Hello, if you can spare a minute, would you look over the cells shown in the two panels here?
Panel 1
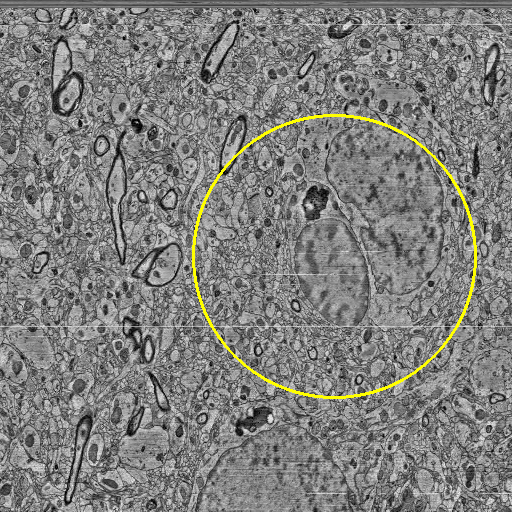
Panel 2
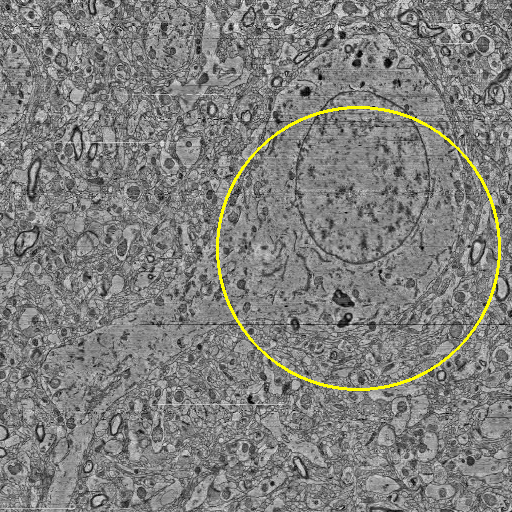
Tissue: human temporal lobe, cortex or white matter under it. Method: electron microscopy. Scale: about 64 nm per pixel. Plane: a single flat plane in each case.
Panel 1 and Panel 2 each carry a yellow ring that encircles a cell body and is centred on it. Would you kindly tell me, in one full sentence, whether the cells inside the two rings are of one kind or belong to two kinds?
The cells at the centres of the rings in Panel 1 and Panel 2 belong to two kinds.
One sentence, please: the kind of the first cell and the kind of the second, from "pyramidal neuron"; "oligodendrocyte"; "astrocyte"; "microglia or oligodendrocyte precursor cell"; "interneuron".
The ring in the first picture surrounds an oligodendrocyte, and the ring in the second surrounds a pyramidal neuron.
